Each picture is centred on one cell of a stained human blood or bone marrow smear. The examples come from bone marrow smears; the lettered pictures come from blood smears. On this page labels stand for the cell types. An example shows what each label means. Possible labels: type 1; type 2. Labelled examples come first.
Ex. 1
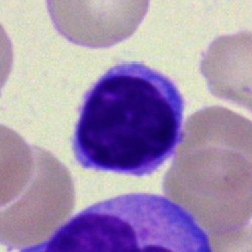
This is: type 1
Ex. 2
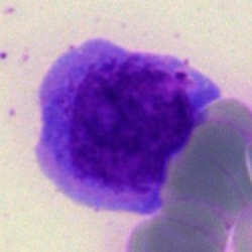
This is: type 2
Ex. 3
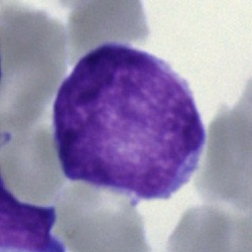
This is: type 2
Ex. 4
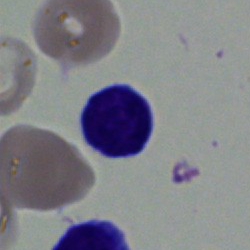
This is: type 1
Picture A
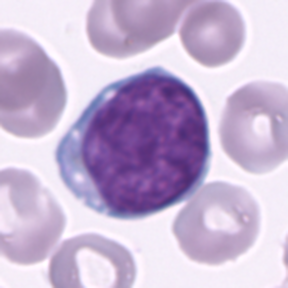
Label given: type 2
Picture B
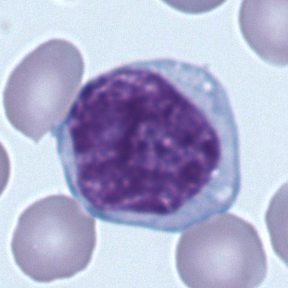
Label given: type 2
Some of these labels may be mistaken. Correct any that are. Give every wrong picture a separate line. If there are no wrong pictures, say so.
All labels are correct.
